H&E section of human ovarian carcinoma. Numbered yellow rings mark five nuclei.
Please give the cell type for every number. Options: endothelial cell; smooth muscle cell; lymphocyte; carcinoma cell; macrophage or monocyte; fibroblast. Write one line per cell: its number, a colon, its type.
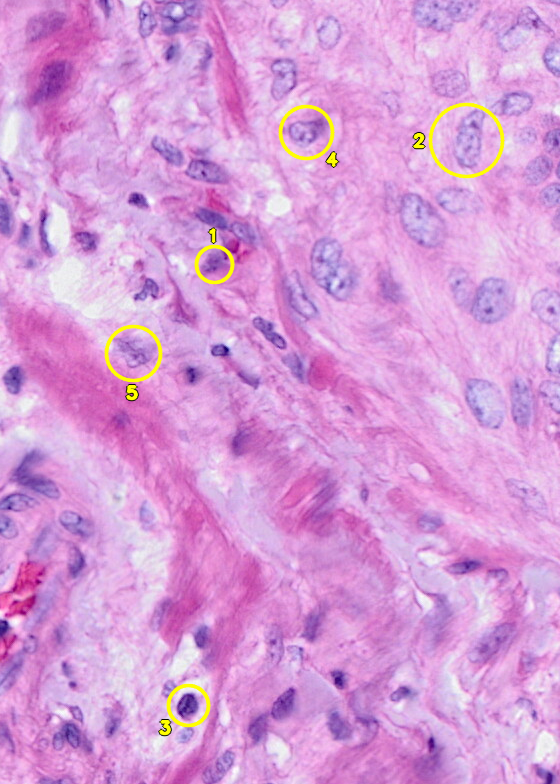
1: endothelial cell
2: fibroblast
3: lymphocyte
4: fibroblast
5: fibroblast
